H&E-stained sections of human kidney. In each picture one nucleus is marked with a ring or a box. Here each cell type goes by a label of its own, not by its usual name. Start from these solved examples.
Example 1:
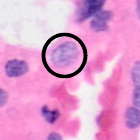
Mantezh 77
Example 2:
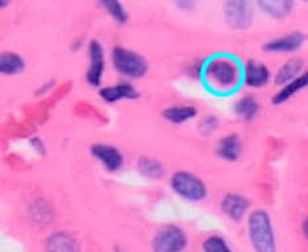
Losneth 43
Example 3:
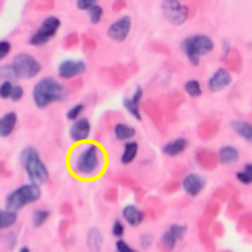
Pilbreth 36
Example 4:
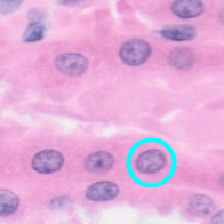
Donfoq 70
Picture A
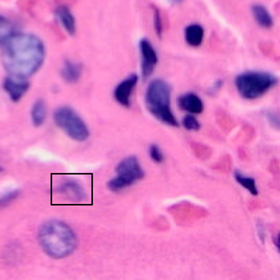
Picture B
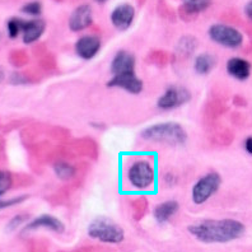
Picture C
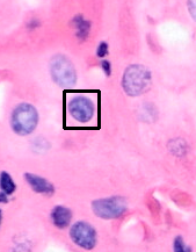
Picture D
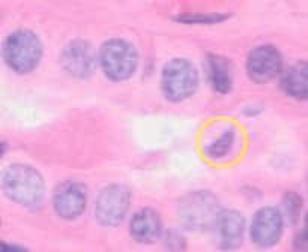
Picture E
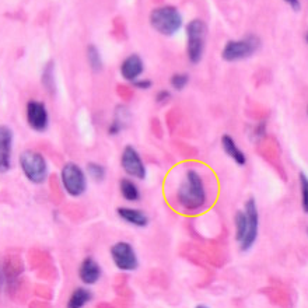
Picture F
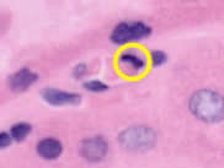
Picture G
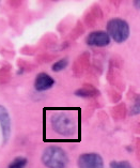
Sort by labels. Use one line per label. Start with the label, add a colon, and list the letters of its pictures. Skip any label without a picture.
Mantezh 77: G
Losneth 43: A, C, D
Pilbreth 36: B, E, F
